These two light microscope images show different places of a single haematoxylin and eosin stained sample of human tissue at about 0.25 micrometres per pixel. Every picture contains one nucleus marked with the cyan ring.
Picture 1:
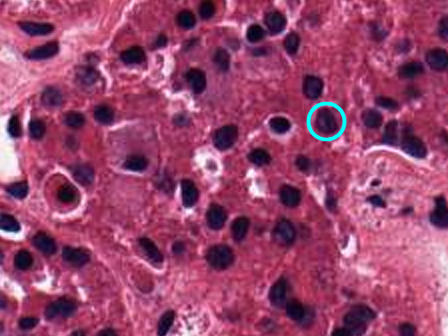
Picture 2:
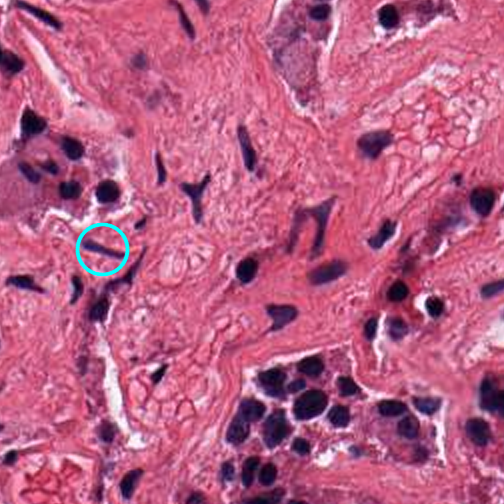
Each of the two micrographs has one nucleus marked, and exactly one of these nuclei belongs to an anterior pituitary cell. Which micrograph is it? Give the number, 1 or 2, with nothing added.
1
